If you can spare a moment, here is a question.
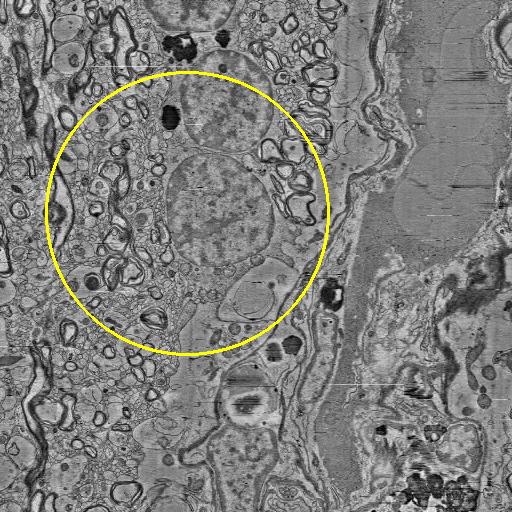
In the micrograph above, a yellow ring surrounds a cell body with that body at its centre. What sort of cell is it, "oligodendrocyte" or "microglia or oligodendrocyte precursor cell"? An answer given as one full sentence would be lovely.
Centred inside the yellow ring, the cell body shown belongs to an oligodendrocyte in this micrograph.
